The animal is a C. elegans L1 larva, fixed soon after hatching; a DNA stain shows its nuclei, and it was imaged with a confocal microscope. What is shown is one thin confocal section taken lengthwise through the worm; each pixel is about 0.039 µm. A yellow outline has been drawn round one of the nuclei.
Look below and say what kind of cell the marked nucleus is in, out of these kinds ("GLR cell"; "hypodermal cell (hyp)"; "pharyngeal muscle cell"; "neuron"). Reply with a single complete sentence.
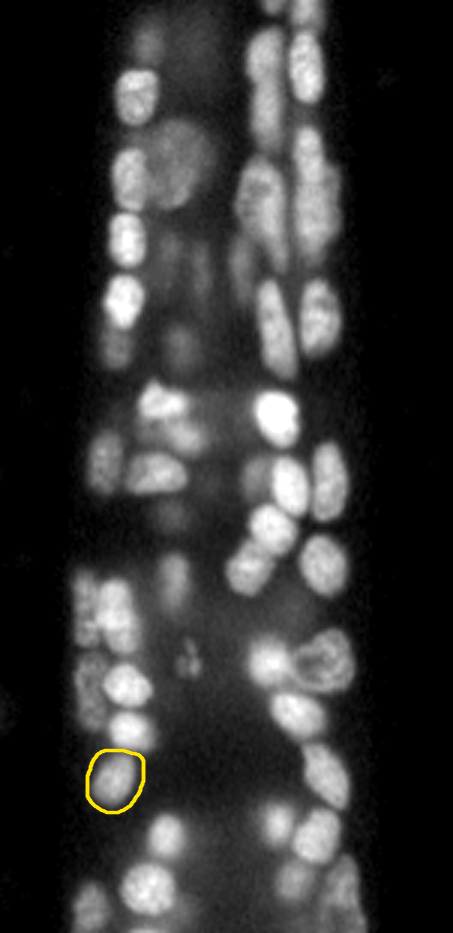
It is the nucleus of a neuron.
